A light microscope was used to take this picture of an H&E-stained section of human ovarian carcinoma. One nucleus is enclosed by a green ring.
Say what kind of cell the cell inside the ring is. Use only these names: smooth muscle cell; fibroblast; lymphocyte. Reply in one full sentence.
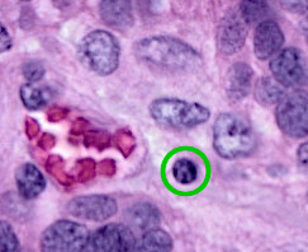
As for its identity, the cell inside the ring is a lymphocyte.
